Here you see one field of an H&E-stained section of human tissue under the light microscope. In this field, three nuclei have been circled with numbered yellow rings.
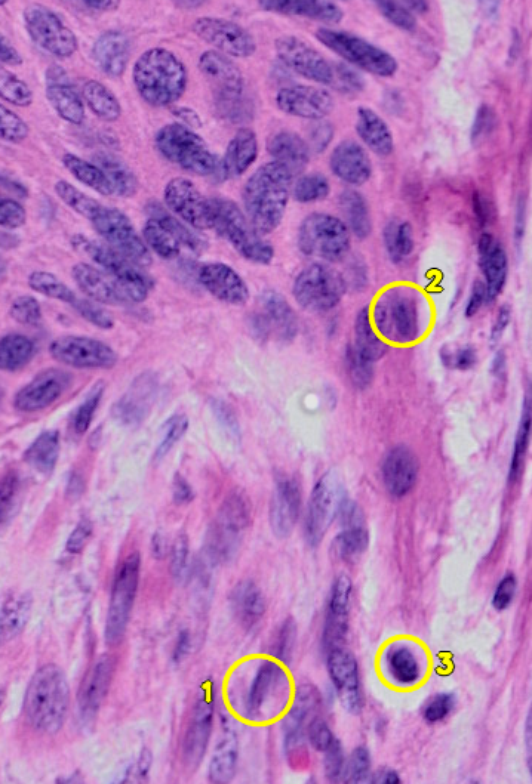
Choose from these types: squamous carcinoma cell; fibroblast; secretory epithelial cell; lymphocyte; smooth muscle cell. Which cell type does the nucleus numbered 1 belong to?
fibroblast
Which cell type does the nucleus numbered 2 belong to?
squamous carcinoma cell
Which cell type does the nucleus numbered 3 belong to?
lymphocyte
